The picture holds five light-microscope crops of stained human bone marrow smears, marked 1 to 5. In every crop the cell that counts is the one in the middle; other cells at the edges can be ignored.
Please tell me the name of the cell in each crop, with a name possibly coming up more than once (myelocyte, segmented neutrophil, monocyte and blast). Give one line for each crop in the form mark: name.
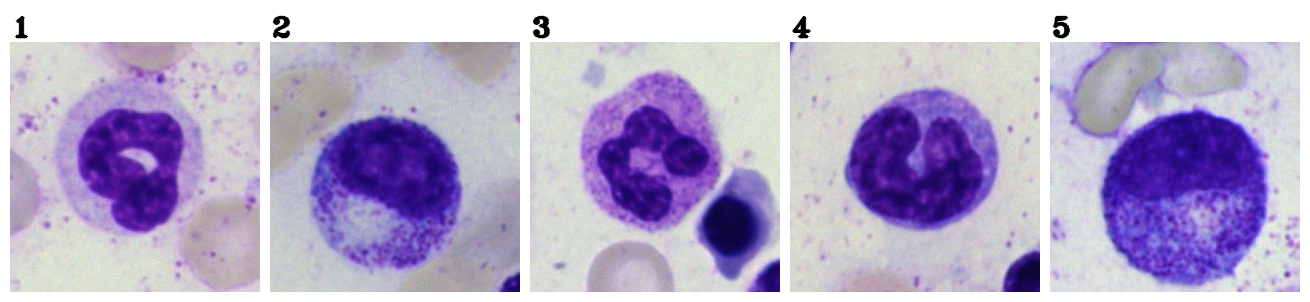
1: segmented neutrophil
2: myelocyte
3: segmented neutrophil
4: monocyte
5: myelocyte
